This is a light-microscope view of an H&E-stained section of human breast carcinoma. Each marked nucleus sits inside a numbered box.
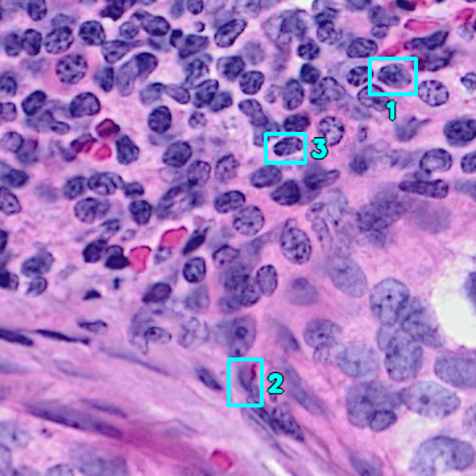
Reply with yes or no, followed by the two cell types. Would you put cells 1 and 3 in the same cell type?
Yes, along with cell 1, cell 3 is also among the lymphocytes.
